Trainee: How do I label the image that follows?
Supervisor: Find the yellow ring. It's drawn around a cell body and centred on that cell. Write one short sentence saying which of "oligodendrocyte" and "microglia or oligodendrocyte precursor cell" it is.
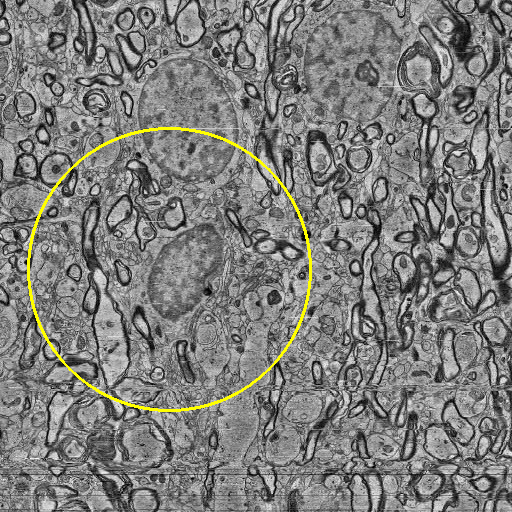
This is the cell body of an oligodendrocyte.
